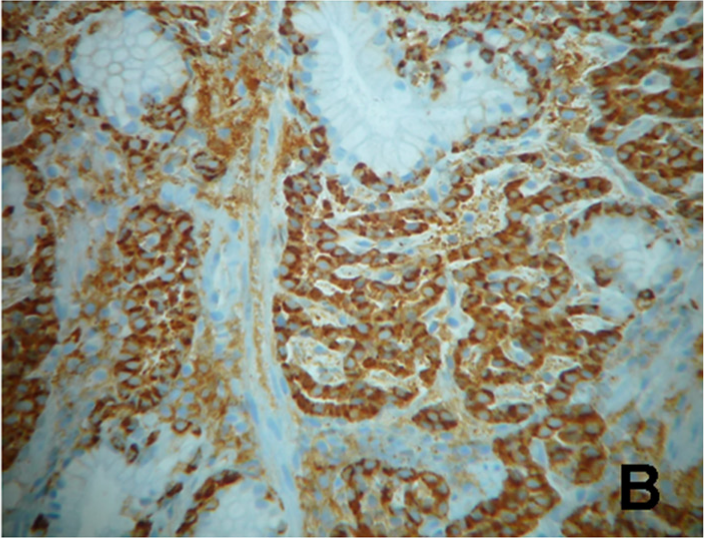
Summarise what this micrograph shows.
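The brown cells form cords, nests and trabeculae that wind between the tissue. Each stained cell has a pale blue unstained nucleus set in brown cytoplasm. Between the tumour cords lie unstained pale blue structures: mucosal glands lined by tall cells with clear mucin-filled tops, and stroma with thin spindle-shaped nuclei. The sharp contrast makes the spread of tumour cells among normal glands easy to follow.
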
